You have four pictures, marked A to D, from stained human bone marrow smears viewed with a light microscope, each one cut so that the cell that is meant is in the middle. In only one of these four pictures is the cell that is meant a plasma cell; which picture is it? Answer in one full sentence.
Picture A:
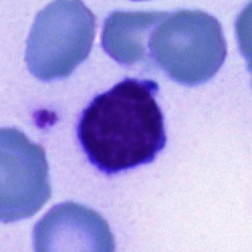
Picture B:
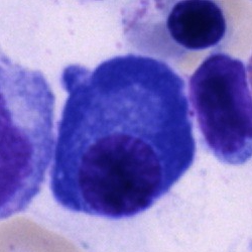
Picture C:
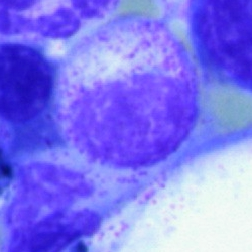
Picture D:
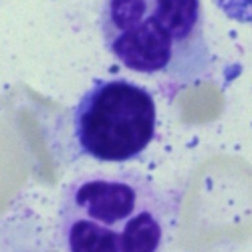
Picture B shows the plasma cell.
